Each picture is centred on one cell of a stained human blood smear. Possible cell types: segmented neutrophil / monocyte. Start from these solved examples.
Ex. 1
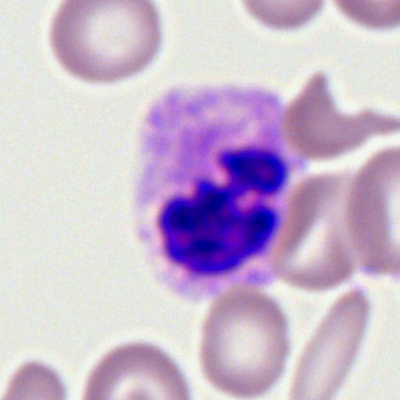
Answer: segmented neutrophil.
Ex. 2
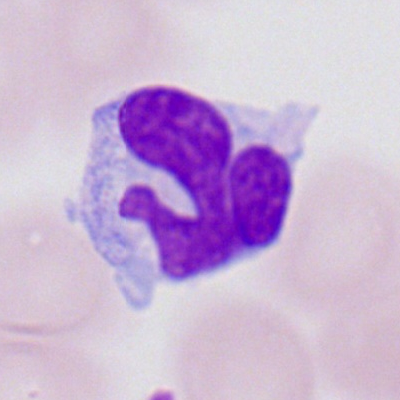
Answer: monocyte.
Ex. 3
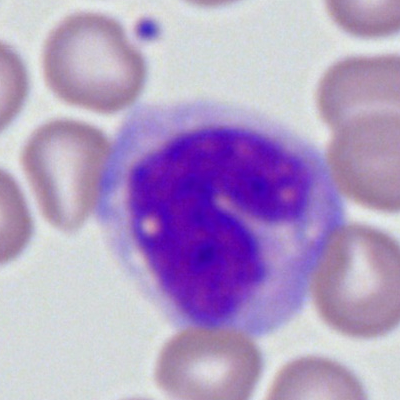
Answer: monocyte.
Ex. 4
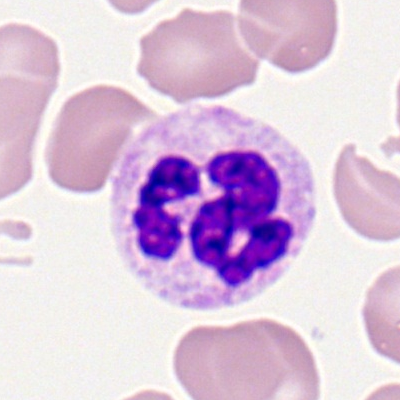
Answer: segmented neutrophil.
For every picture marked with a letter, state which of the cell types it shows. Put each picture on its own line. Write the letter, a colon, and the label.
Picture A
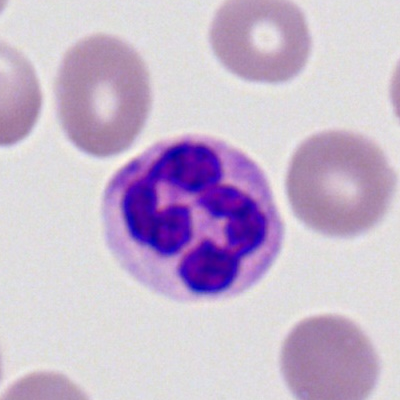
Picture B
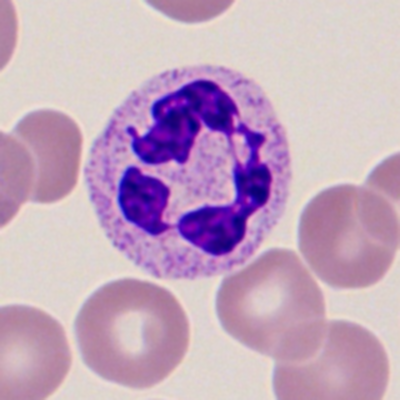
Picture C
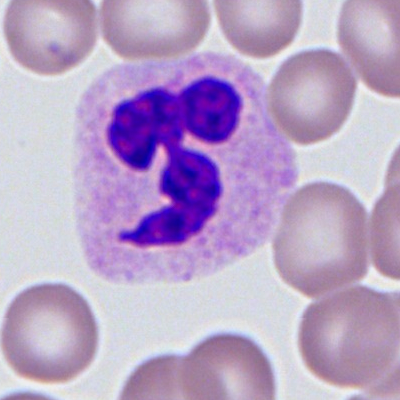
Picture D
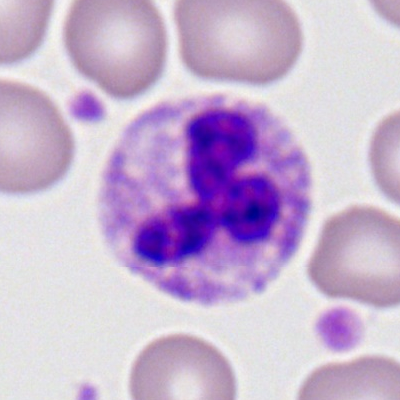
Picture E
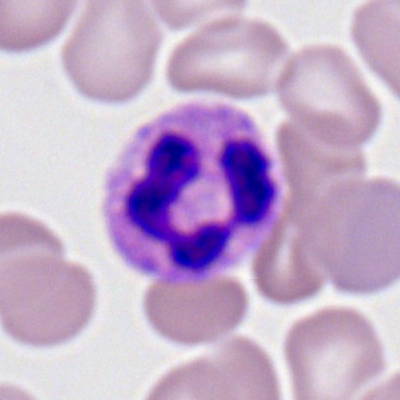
A: segmented neutrophil.
B: segmented neutrophil.
C: segmented neutrophil.
D: segmented neutrophil.
E: segmented neutrophil.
